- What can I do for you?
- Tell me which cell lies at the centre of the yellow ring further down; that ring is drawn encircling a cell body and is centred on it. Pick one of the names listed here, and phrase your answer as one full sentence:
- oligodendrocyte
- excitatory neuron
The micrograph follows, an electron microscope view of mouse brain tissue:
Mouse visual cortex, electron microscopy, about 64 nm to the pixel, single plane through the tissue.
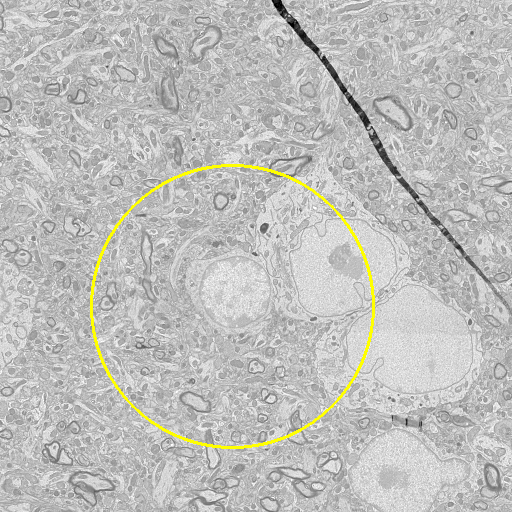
The cell whose body lies at the centre of the yellow ring is an oligodendrocyte.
